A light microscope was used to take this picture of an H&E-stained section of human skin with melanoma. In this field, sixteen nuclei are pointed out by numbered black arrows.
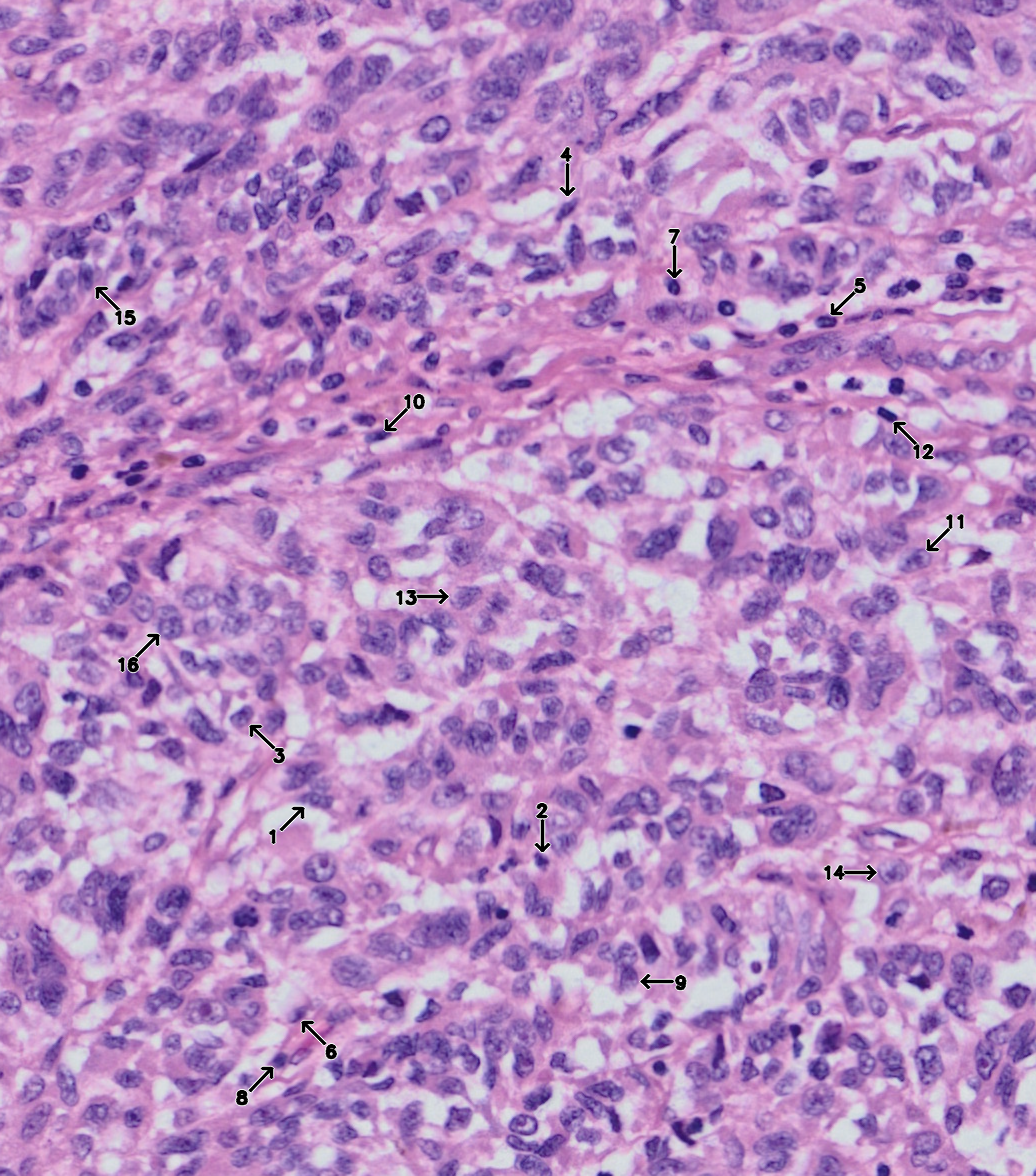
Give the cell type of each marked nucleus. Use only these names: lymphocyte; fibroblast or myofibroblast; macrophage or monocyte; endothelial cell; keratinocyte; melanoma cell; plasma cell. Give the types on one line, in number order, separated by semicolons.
melanoma cell; lymphocyte; melanoma cell; melanoma cell; lymphocyte; macrophage or monocyte; lymphocyte; lymphocyte; melanoma cell; lymphocyte; melanoma cell; lymphocyte; melanoma cell; melanoma cell; melanoma cell; melanoma cell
